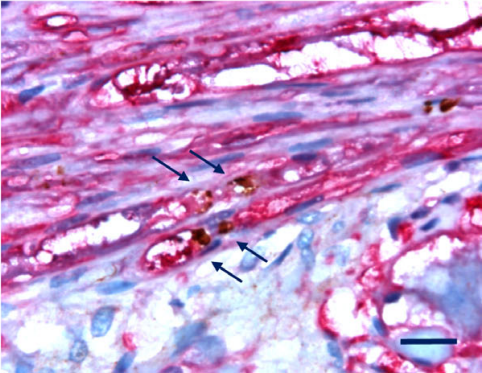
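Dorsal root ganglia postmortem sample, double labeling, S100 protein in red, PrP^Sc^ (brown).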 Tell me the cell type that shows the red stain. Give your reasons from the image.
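Red stain outlines elongated sheaths running in parallel along fibres. Red-stained profiles surround clear round spaces, as around axons. The answer: Schwann cells.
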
